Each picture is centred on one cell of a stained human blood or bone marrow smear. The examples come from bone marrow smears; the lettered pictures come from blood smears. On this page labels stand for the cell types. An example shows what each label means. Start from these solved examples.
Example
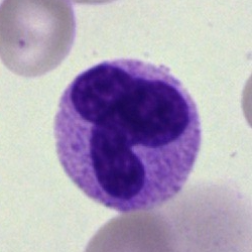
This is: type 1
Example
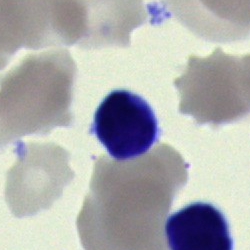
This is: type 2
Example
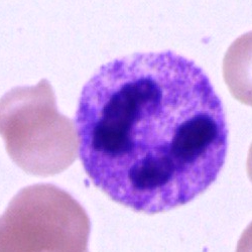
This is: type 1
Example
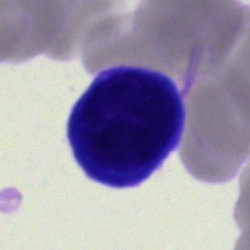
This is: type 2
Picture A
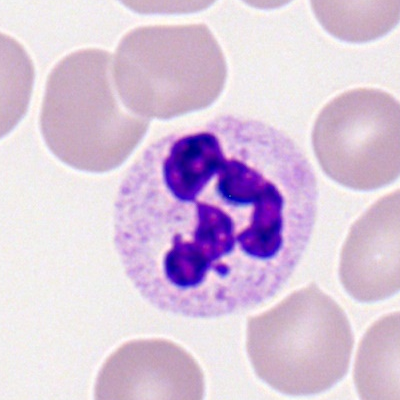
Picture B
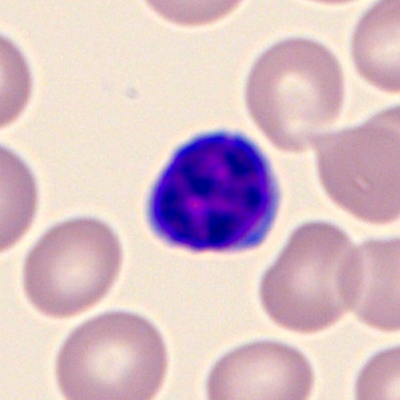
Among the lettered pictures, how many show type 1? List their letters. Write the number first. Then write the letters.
1, namely A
